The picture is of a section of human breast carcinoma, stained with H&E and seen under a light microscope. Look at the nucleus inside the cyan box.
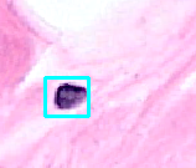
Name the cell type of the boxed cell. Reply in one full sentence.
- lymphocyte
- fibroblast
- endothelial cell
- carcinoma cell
As classified here, the boxed cell is a lymphocyte.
